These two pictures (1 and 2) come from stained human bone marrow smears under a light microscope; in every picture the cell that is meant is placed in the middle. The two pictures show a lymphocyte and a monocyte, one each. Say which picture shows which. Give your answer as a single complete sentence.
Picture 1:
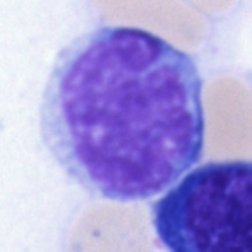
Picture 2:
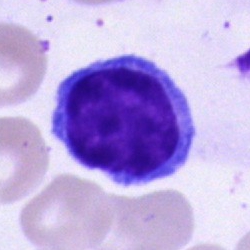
The cell in picture 1 is a monocyte, and the one in picture 2 is a lymphocyte.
